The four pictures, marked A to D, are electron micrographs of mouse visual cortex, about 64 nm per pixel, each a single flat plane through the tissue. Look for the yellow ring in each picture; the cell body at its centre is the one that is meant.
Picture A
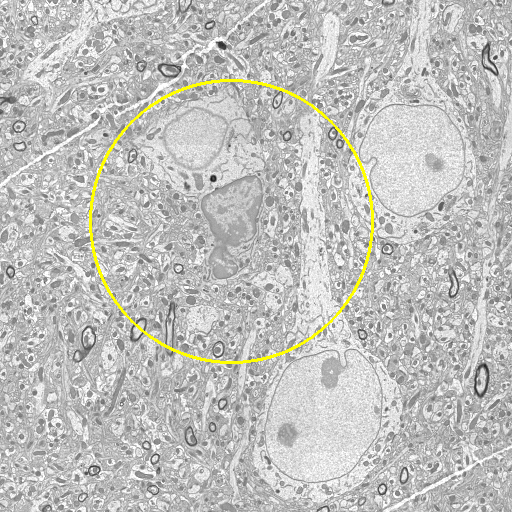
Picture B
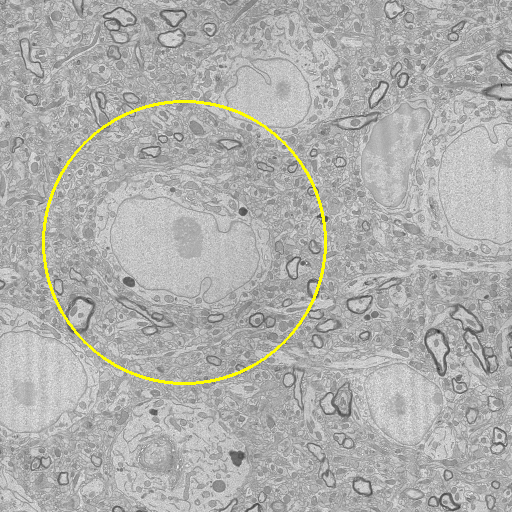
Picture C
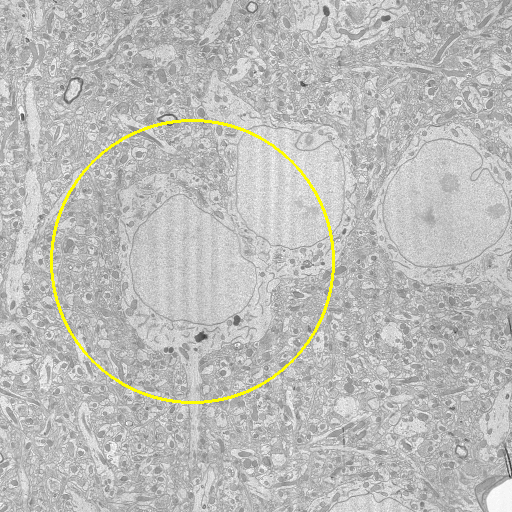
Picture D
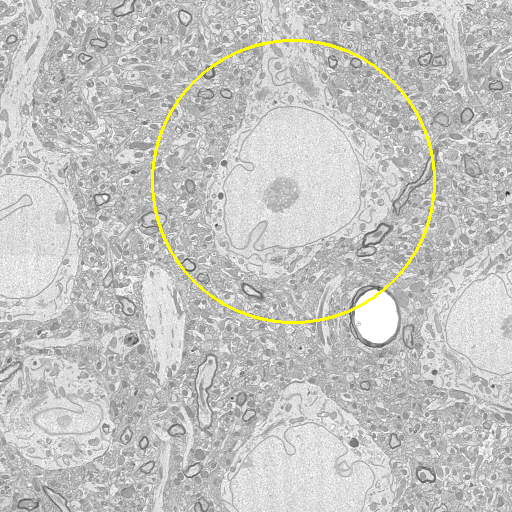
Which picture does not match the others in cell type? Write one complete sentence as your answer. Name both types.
Picture A is the odd one out: it shows a microglial cell, while the others show excitatory neurons.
